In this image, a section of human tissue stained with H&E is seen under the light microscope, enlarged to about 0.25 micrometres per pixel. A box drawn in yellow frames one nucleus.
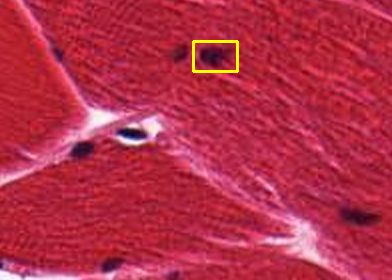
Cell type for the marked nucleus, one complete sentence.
A nucleus of a skeletal muscle fibre is the one that is marked.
